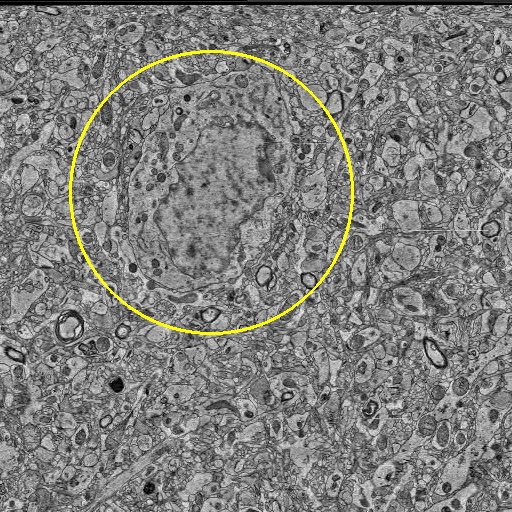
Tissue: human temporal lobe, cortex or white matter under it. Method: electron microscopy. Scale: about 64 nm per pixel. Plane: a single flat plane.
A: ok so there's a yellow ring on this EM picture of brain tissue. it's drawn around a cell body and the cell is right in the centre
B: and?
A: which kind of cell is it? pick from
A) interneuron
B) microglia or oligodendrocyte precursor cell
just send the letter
A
